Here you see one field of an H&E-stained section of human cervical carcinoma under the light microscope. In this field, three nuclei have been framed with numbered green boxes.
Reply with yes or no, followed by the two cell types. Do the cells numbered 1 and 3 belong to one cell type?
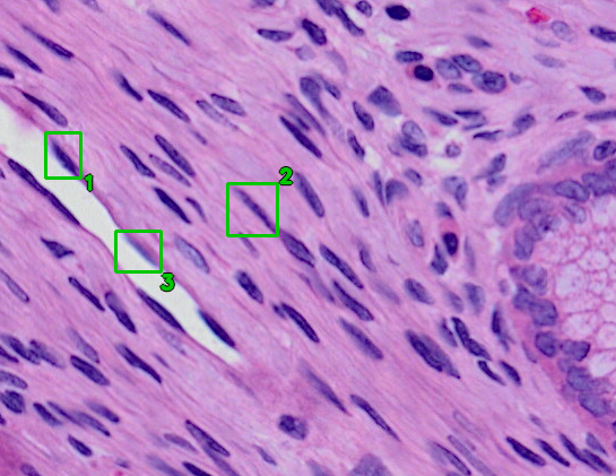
Yes, cells 1 and 3 are both endothelial cells.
